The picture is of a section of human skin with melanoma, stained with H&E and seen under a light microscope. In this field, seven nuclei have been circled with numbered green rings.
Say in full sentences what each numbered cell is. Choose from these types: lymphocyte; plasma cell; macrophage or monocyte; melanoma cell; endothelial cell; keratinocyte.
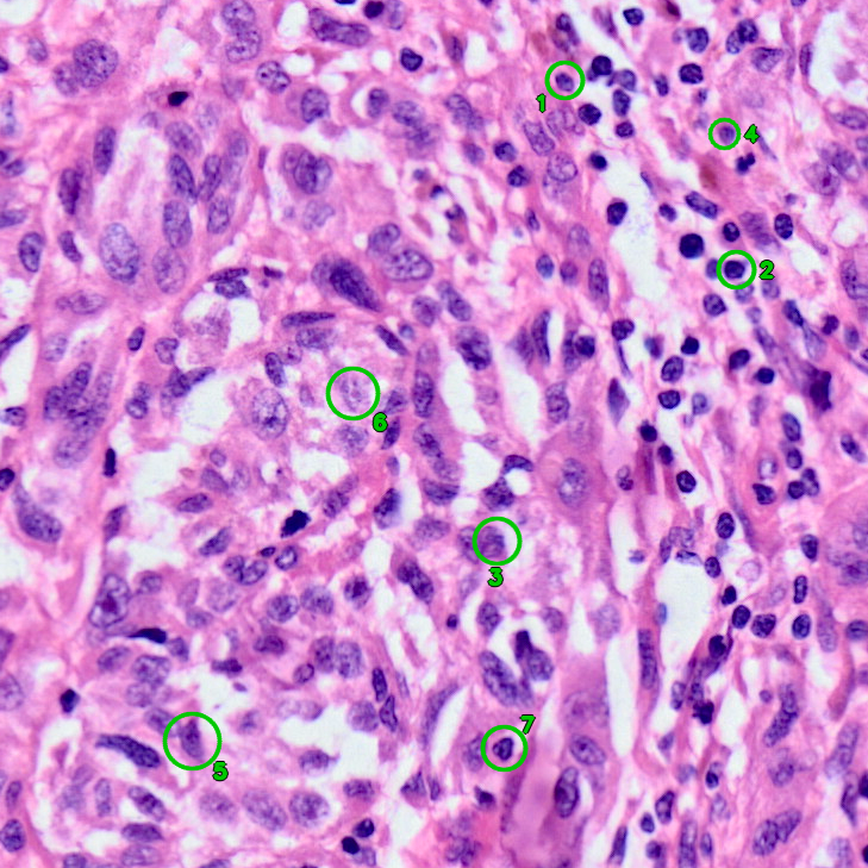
Cells 1, 2, 4 and 7 are lymphocytes. Cells 3, 5 and 6 are melanoma cells.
